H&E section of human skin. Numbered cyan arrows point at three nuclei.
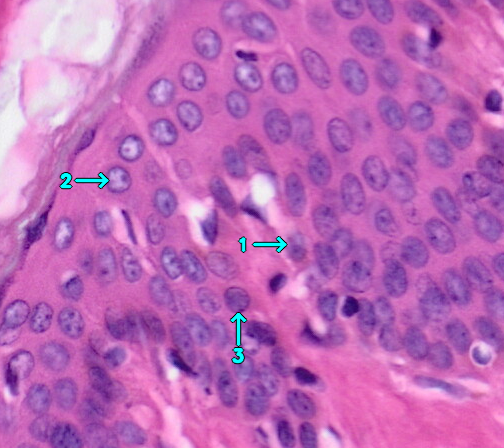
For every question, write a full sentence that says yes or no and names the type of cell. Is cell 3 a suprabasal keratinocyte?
No, the cell tagged 3 is a basal keratinocyte, and not a suprabasal keratinocyte.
